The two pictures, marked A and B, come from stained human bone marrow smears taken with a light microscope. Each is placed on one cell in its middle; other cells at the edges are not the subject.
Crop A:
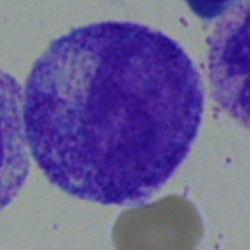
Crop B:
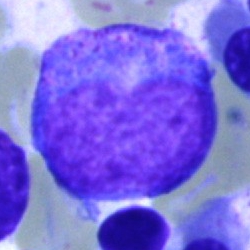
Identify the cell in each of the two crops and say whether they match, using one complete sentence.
Yes, the cells at the centre of the two crops are both promyelocytes.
